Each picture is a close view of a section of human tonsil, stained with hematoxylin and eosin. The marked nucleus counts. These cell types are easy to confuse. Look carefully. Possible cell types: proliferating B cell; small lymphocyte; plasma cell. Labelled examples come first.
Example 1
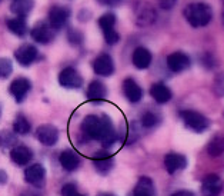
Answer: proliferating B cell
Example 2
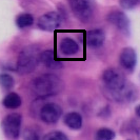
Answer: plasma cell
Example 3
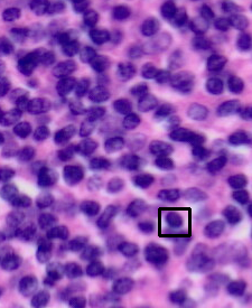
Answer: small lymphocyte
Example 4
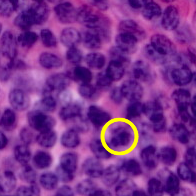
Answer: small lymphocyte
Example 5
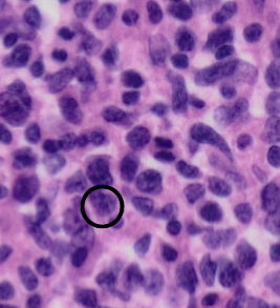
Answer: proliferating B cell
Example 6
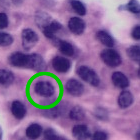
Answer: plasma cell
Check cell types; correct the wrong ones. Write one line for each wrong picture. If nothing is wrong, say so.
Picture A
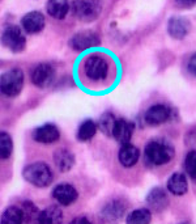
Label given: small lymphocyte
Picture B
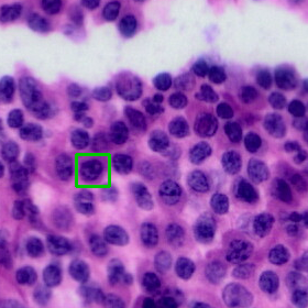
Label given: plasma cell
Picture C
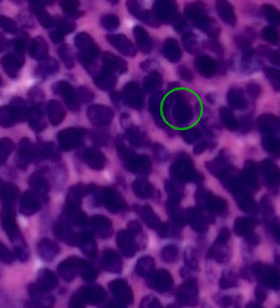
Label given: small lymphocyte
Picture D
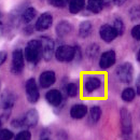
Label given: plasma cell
A is labelled small lymphocyte; correct label: plasma cell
